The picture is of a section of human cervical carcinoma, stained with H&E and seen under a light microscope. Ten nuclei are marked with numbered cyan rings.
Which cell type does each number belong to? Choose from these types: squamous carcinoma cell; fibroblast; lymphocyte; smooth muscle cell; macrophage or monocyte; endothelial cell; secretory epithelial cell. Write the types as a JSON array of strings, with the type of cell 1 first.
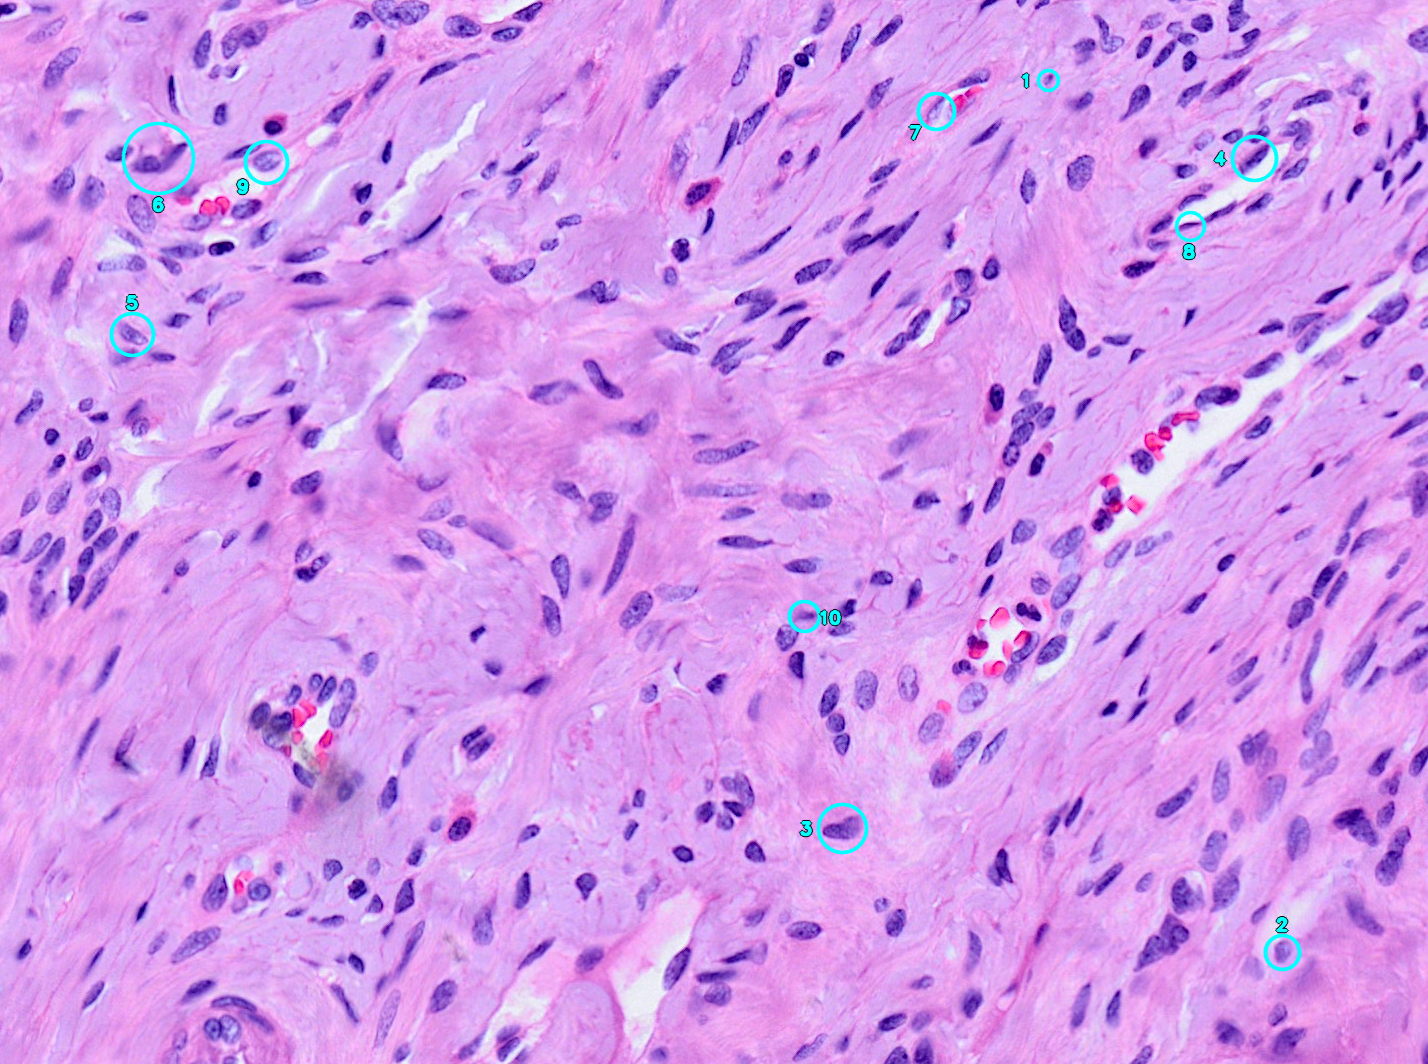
["fibroblast", "fibroblast", "fibroblast", "endothelial cell", "fibroblast", "fibroblast", "endothelial cell", "endothelial cell", "endothelial cell", "fibroblast"]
